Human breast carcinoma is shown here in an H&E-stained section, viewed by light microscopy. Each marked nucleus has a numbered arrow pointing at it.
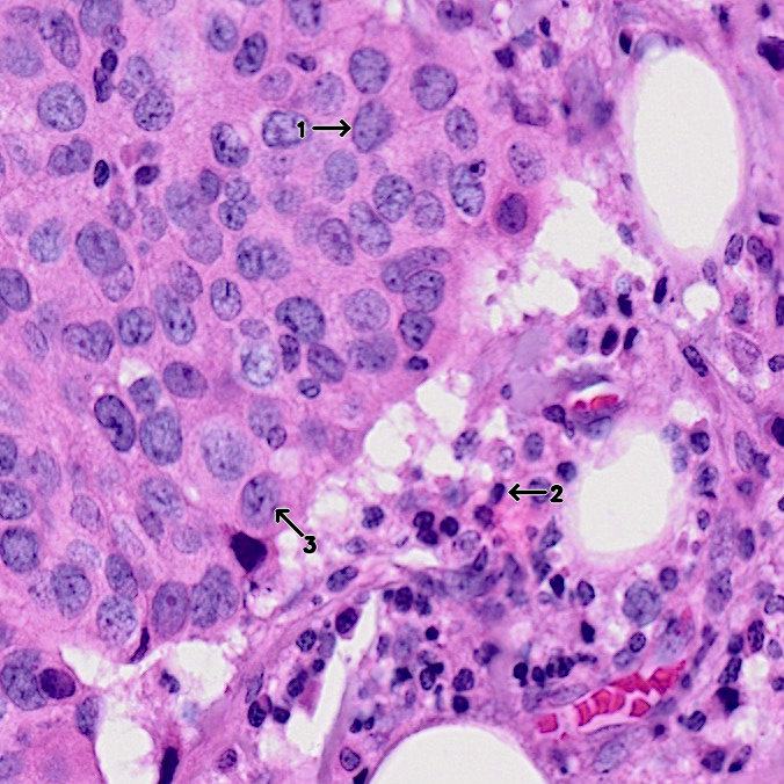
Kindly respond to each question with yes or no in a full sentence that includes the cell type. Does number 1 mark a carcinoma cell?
Yes, the cell distinguished by number 1 is a carcinoma cell.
